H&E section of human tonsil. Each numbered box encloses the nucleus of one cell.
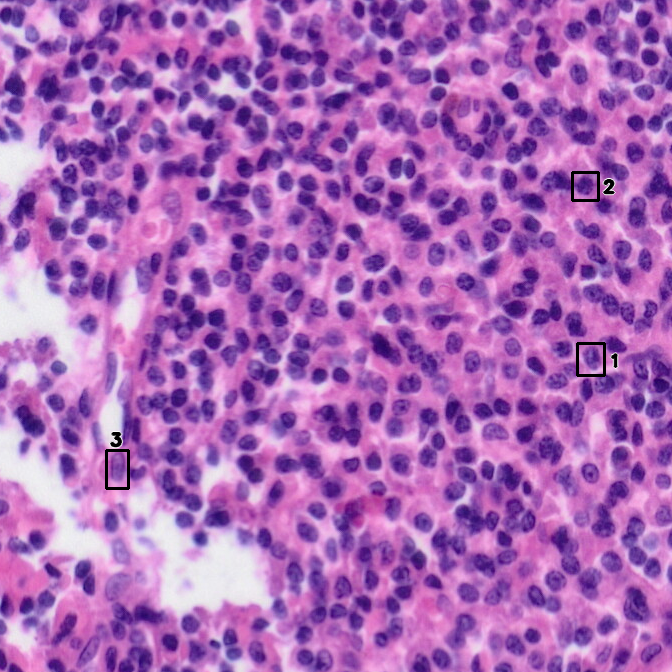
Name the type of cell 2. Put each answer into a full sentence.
Here the cell numbered 2 is a plasma cell.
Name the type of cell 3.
The cell referenced by the number 3 is an endothelial cell in this field.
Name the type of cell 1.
In the tissue shown, cell 1 is a plasma cell.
